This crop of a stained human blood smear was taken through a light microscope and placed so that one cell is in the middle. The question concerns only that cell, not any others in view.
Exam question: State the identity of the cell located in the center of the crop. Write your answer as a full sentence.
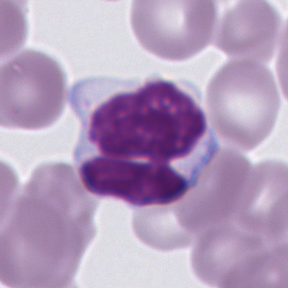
Among the cells in view, the one in the middle is a large granular lymphocyte.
